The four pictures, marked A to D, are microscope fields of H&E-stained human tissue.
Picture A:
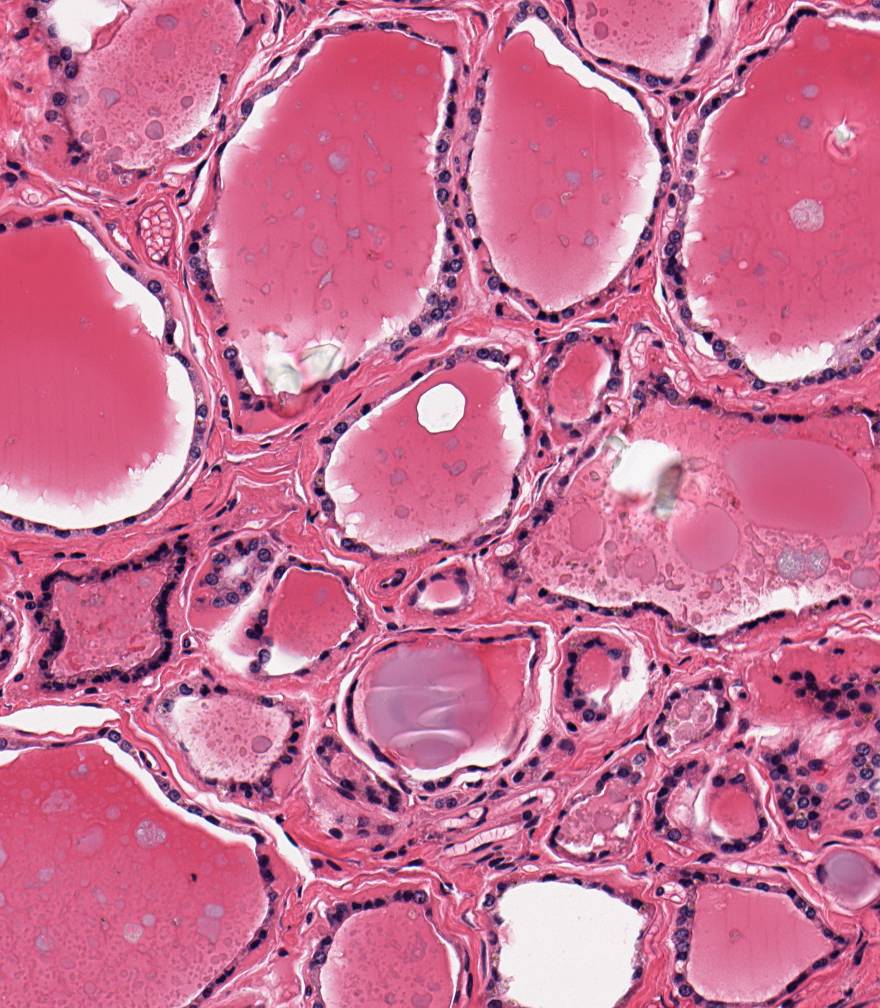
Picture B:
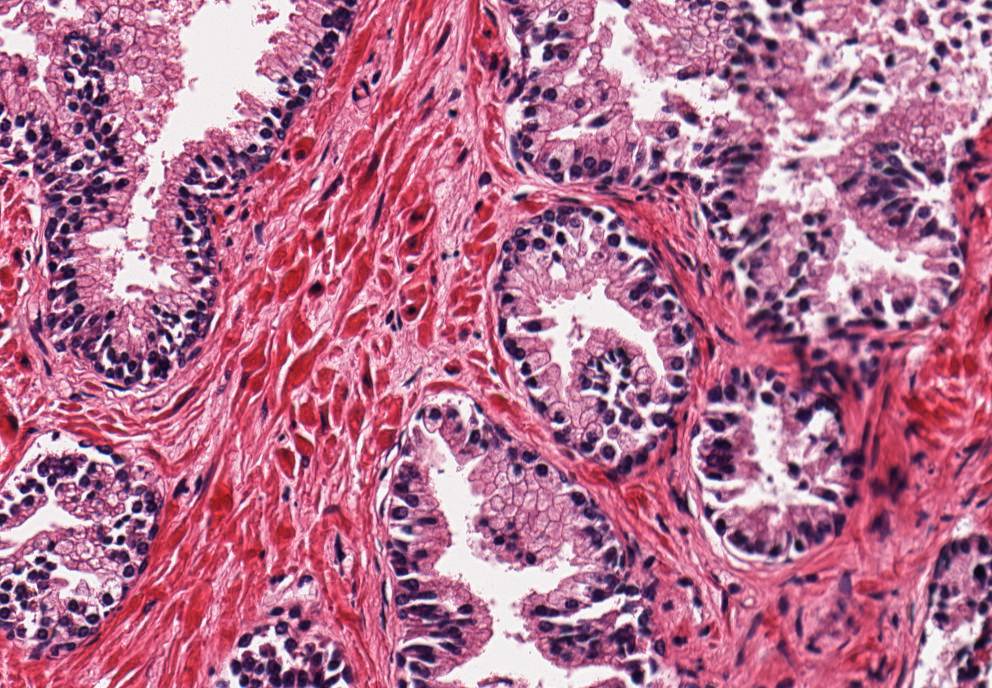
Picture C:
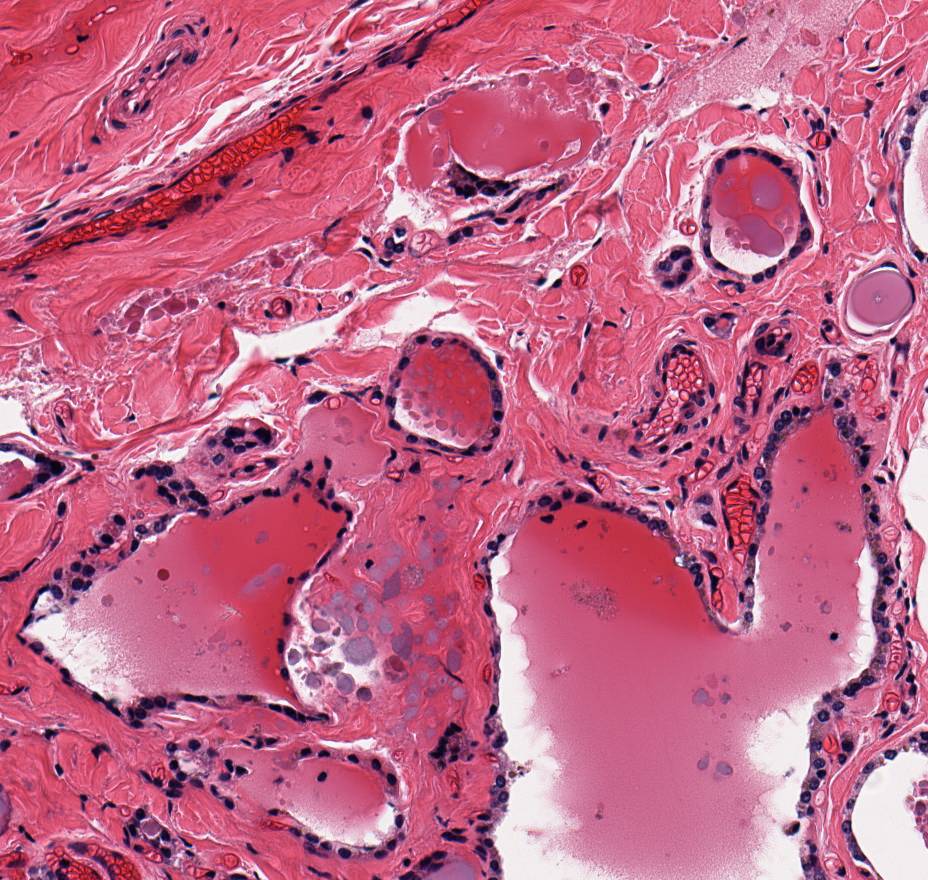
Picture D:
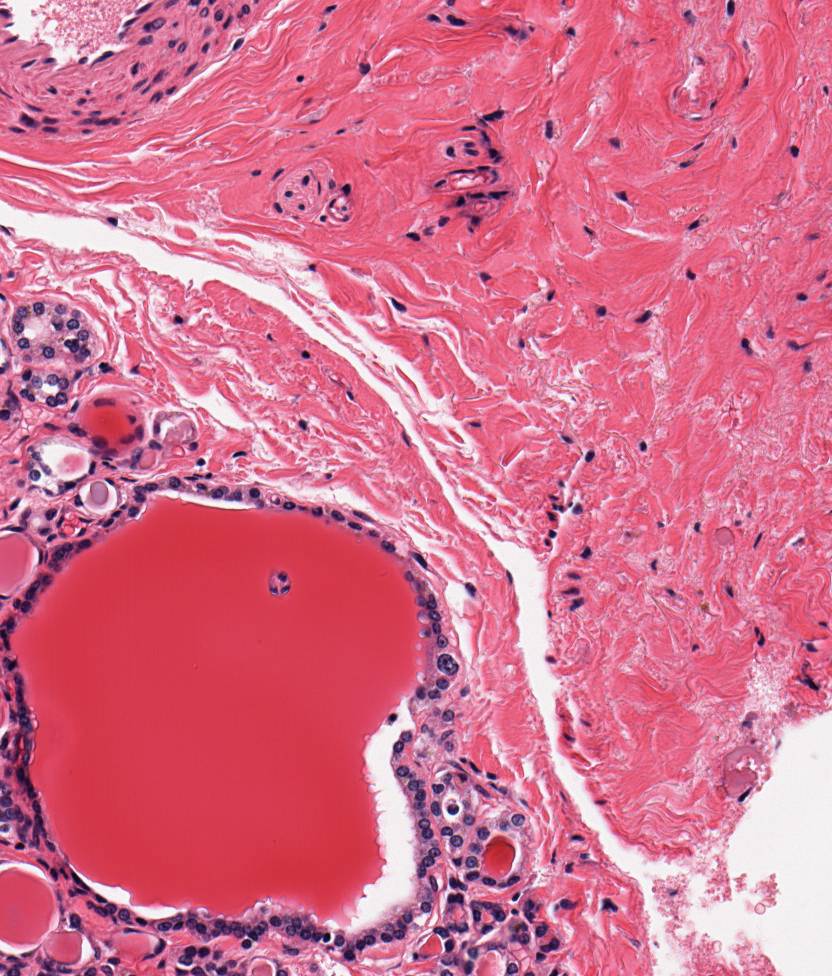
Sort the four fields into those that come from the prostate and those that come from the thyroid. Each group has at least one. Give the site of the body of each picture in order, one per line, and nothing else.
thyroid
prostate
thyroid
thyroid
